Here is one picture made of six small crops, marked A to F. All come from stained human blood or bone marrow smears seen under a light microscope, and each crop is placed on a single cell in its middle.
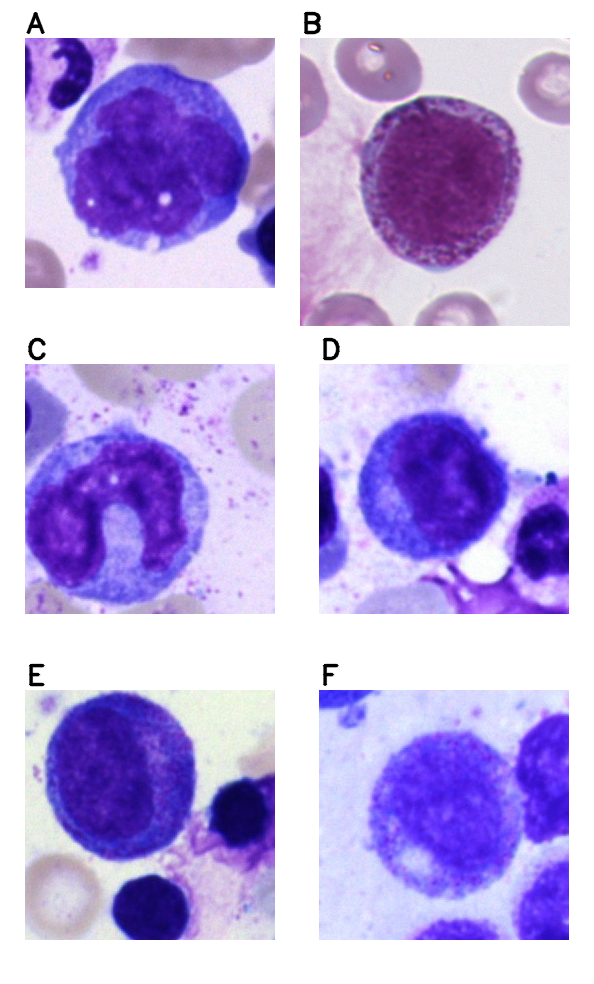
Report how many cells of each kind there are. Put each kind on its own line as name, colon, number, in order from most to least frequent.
promyelocyte: 4
monocyte: 2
